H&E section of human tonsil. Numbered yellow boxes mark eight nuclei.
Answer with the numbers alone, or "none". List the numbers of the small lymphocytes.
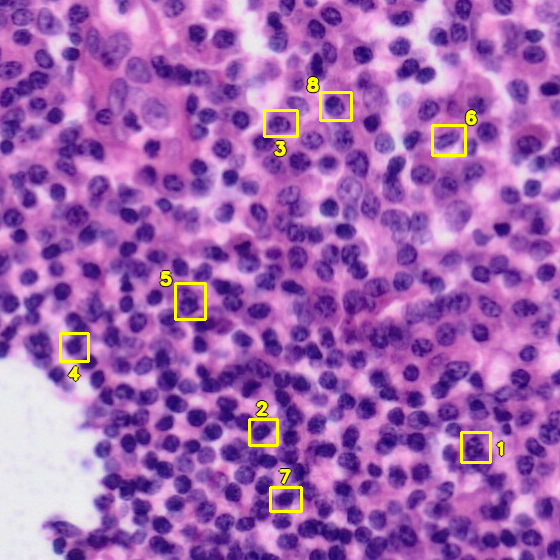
2, 4, 7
